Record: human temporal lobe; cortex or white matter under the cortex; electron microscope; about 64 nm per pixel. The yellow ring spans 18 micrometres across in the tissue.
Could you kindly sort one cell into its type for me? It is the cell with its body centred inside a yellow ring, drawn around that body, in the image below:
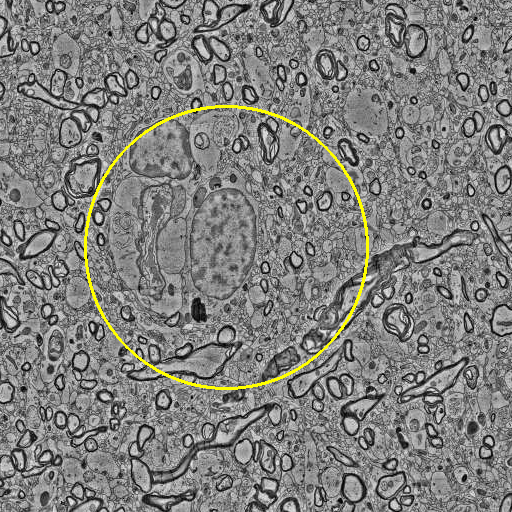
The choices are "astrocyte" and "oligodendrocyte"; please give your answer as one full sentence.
The cell whose body lies centred in the yellow ring here is an oligodendrocyte.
